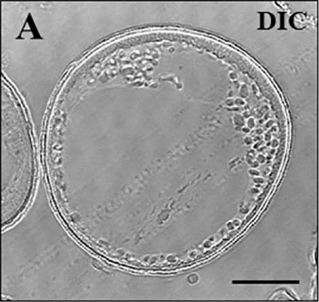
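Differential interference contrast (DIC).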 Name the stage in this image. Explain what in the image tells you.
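A single round cell bounded by a thick wall. A large clear central space fills most of the cell. The answer: Vacuolated microspore.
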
